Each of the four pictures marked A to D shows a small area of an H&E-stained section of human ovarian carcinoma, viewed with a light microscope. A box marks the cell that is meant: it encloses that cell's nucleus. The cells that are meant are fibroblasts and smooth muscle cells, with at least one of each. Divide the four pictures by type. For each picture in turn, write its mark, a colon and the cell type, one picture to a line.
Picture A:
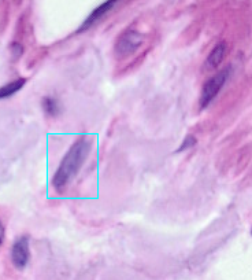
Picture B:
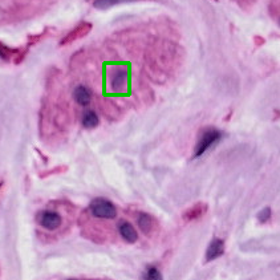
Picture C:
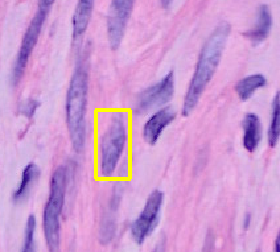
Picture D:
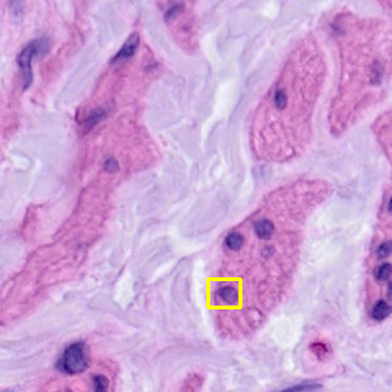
A: fibroblast
B: smooth muscle cell
C: smooth muscle cell
D: smooth muscle cell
